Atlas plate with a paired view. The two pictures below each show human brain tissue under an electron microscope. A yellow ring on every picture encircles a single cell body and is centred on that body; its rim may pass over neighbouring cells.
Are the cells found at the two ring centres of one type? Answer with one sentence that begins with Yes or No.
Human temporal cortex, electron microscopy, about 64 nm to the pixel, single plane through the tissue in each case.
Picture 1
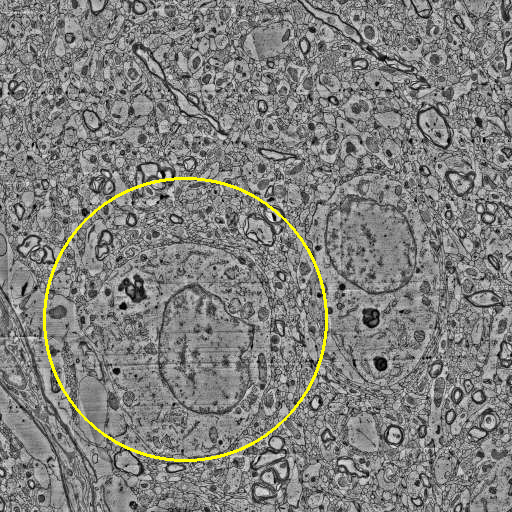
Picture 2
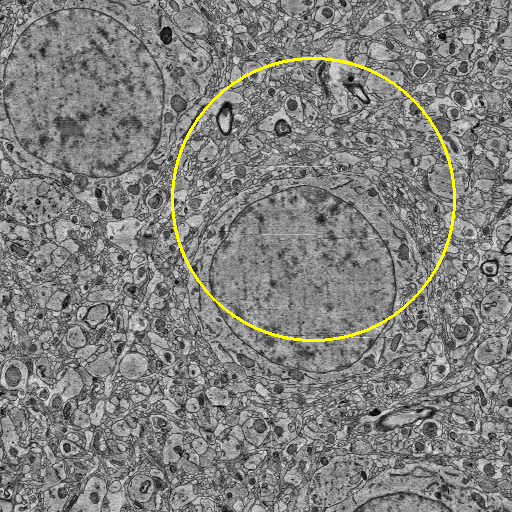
Yes, the two cells lying at the centres of the rings share a single type.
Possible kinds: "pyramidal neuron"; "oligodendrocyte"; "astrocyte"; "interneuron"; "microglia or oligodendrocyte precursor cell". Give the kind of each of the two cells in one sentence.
Each of the two cells is a pyramidal neuron.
